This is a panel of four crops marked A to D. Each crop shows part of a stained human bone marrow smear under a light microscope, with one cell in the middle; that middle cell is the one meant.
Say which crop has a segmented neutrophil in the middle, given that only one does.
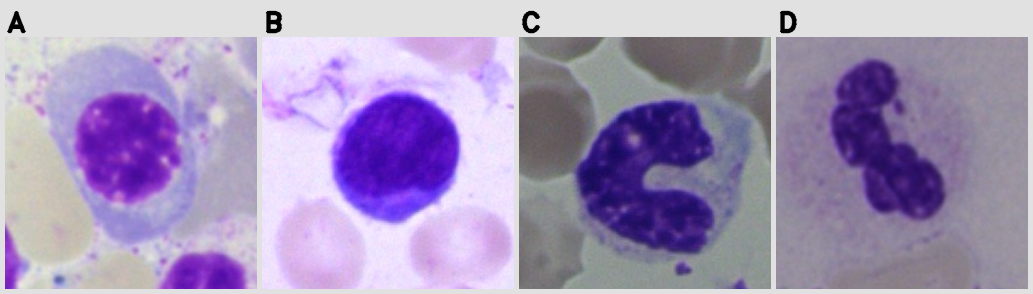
D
